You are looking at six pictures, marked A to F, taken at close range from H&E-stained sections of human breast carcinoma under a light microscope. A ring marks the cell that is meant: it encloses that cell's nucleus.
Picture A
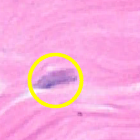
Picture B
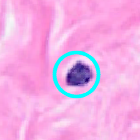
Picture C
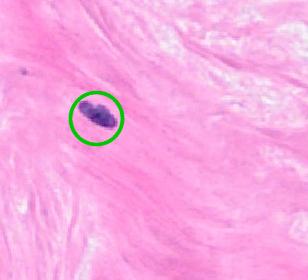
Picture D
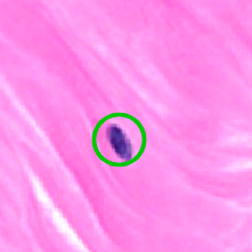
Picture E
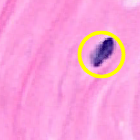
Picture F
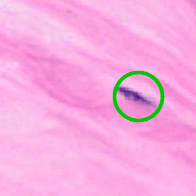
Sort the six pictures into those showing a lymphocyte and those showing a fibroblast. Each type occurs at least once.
A: fibroblast
B: lymphocyte
C: lymphocyte
D: lymphocyte
E: lymphocyte
F: fibroblast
